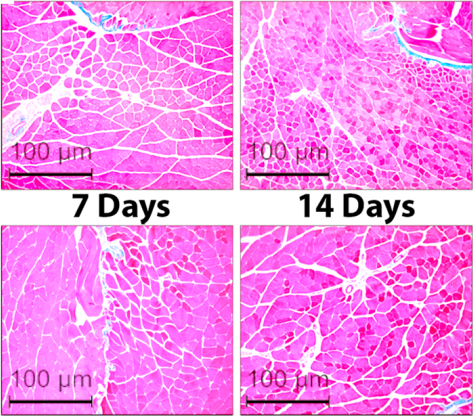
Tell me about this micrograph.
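Cross-sectioned skeletal muscle with tightly packed polygonal myofibers stained pink to red. Fibers are separated by thin white septa with small blue-green connective tissue strands at the fascicle edges.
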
